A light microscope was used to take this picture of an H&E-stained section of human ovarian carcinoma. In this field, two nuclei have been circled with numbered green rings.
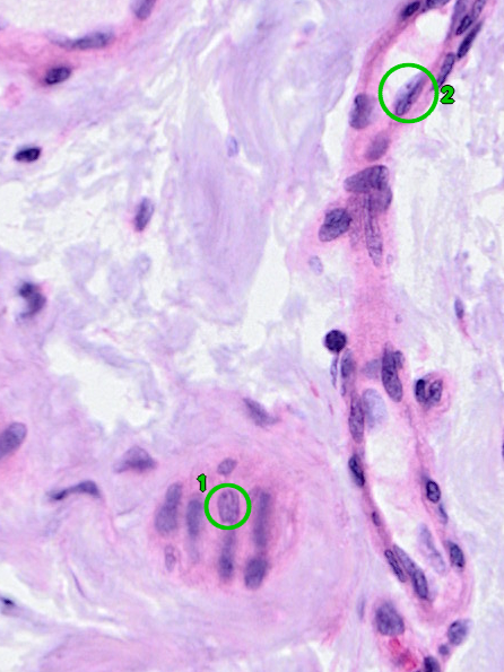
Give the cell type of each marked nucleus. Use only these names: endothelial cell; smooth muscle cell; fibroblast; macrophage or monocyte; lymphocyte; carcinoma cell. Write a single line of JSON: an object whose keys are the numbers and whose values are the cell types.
{"1": "smooth muscle cell", "2": "endothelial cell"}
